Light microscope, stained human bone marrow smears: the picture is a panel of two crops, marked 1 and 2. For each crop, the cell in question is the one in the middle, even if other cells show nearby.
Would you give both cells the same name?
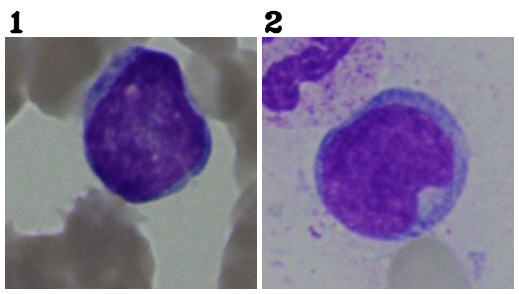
yes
